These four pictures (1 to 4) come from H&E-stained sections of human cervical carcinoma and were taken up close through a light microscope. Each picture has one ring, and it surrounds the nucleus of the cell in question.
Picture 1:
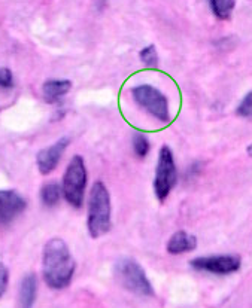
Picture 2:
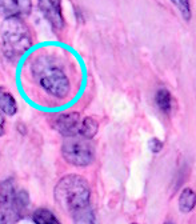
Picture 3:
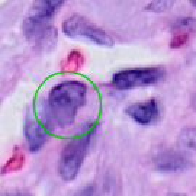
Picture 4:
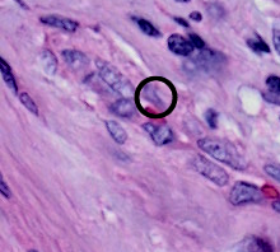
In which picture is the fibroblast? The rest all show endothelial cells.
1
